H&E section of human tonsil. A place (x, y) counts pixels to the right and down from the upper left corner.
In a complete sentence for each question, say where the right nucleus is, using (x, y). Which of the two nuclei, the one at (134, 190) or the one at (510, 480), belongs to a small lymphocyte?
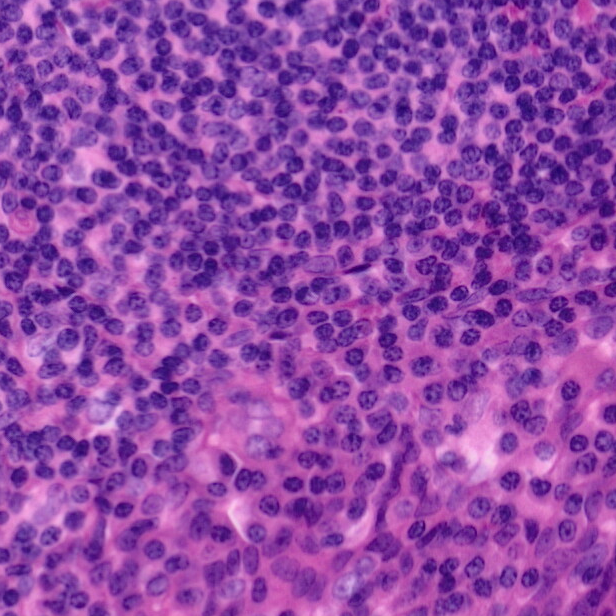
The cell to which the nucleus at (134, 190) belongs is a small lymphocyte.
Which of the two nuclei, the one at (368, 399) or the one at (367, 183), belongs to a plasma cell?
The nucleus at (368, 399) is the one that belongs to a plasma cell.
